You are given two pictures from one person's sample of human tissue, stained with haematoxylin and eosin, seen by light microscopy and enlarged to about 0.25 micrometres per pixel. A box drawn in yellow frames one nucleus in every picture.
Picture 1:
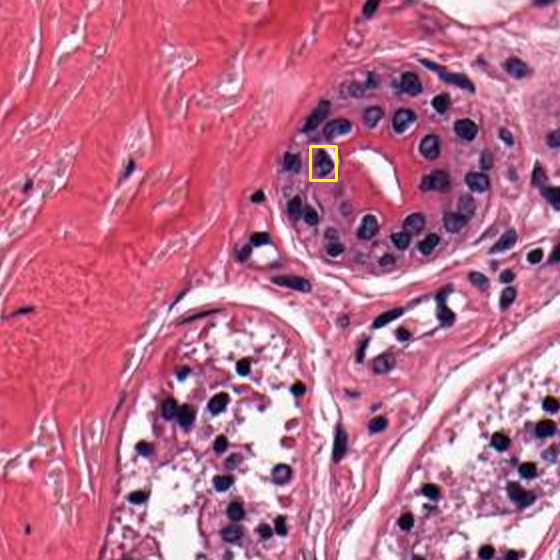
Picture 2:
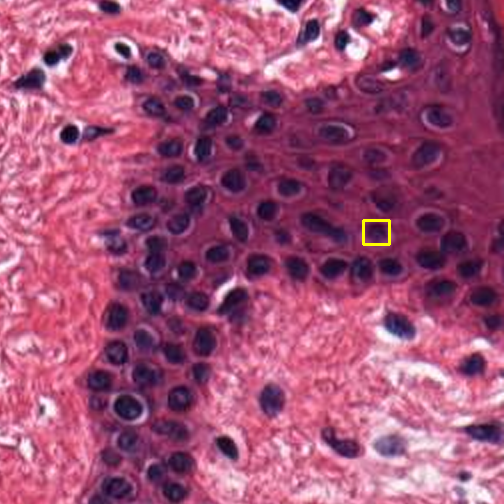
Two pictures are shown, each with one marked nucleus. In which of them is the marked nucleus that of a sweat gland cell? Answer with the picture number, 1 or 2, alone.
1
